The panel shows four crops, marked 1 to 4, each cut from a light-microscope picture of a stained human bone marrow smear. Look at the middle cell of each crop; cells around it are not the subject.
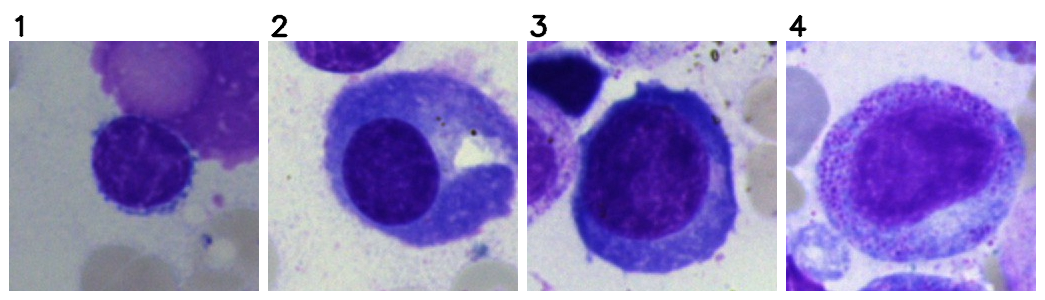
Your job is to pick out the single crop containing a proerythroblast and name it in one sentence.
Crop 3 is where a proerythroblast is shown.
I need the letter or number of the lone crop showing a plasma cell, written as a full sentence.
Crop 2 is the one in the set with a plasma cell at the center.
